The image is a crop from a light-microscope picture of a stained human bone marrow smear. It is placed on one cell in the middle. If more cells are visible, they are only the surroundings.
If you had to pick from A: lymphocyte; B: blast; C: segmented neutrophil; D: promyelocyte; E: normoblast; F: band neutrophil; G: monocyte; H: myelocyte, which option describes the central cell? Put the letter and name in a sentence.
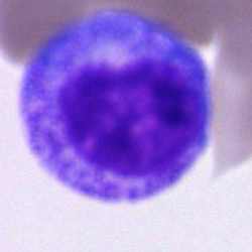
That the central cell is a promyelocyte makes option D correct.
